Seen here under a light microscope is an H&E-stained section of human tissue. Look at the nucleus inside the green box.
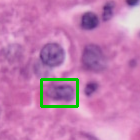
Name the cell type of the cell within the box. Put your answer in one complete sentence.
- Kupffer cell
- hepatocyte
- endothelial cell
The cell type represented by the cell within the box is that of a Kupffer cell.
